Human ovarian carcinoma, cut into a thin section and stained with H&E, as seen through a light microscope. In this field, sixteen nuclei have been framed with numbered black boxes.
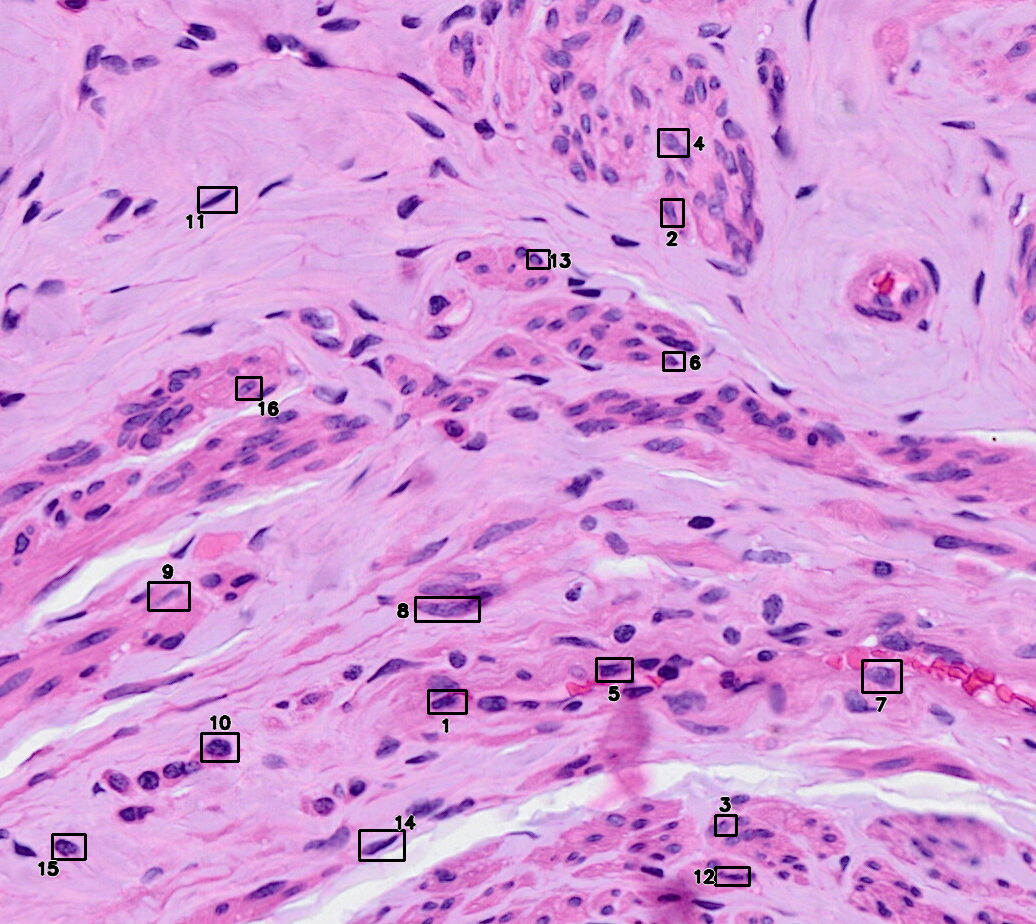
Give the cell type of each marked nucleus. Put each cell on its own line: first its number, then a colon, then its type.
1: endothelial cell
2: smooth muscle cell
3: smooth muscle cell
4: smooth muscle cell
5: endothelial cell
6: smooth muscle cell
7: endothelial cell
8: smooth muscle cell
9: smooth muscle cell
10: lymphocyte
11: fibroblast
12: smooth muscle cell
13: smooth muscle cell
14: fibroblast
15: lymphocyte
16: smooth muscle cell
